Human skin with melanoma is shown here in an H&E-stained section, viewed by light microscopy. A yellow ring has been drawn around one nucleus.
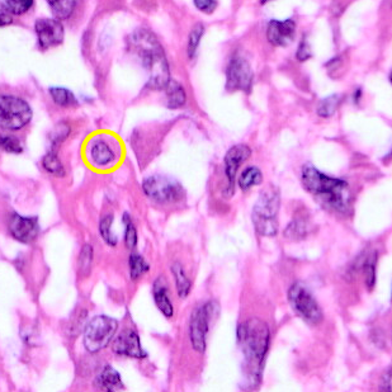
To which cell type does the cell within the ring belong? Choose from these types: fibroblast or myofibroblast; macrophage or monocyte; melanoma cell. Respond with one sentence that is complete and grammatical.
It is as a macrophage or monocyte that the cell within the ring is classified.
